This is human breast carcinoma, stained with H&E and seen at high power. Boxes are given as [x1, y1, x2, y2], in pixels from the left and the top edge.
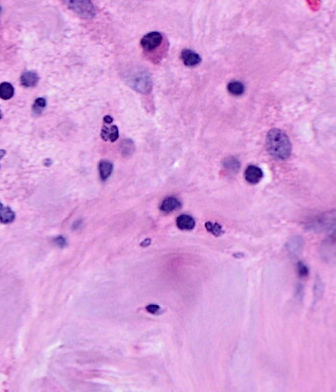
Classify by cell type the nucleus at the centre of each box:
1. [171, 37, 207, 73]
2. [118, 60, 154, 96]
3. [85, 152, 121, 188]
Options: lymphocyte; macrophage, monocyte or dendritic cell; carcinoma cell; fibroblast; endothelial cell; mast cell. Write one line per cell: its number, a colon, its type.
1: lymphocyte
2: fibroblast
3: lymphocyte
